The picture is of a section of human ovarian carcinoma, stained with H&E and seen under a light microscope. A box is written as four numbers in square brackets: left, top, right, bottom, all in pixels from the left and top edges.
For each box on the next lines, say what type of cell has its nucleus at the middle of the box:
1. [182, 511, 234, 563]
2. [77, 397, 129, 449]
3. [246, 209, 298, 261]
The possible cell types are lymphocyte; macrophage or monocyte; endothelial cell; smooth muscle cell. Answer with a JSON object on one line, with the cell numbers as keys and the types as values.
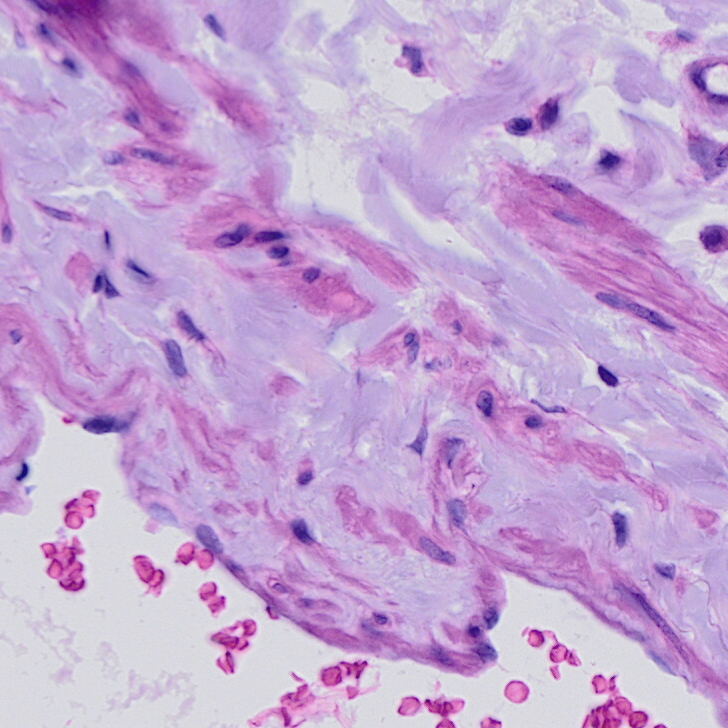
{"1": "endothelial cell", "2": "endothelial cell", "3": "smooth muscle cell"}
